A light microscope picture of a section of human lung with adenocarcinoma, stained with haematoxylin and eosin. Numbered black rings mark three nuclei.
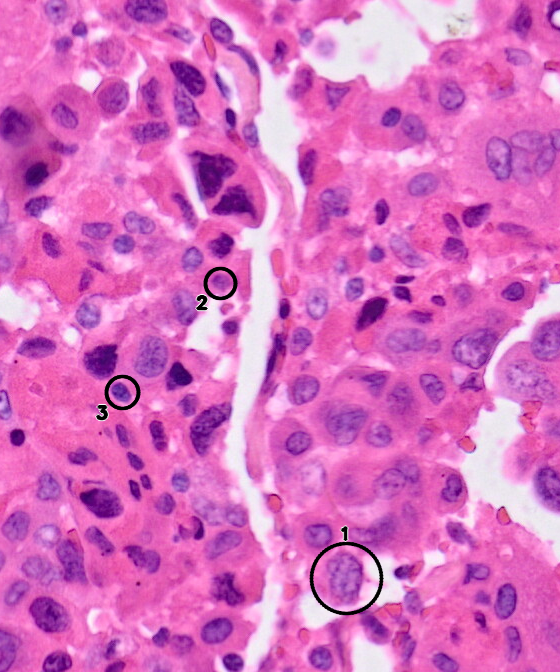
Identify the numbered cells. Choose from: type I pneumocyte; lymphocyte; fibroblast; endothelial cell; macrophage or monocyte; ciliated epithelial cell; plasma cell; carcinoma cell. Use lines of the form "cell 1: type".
cell 1: carcinoma cell
cell 2: macrophage or monocyte
cell 3: lymphocyte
